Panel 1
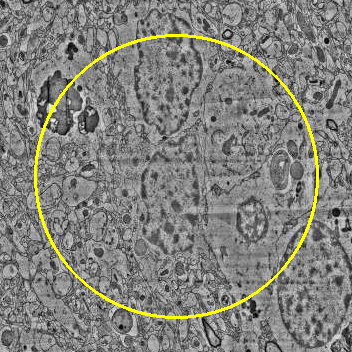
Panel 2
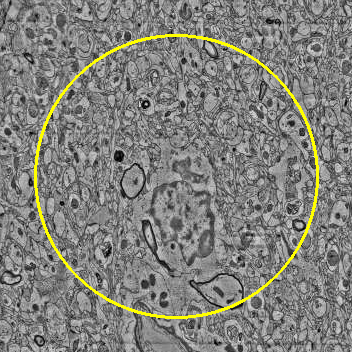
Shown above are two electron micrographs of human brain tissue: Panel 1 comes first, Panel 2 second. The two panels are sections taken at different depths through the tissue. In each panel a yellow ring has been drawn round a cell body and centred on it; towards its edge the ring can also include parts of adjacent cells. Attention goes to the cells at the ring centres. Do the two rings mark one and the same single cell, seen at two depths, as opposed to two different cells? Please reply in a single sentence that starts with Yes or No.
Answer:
No, a single cell is not marked twice here; two cells are marked.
